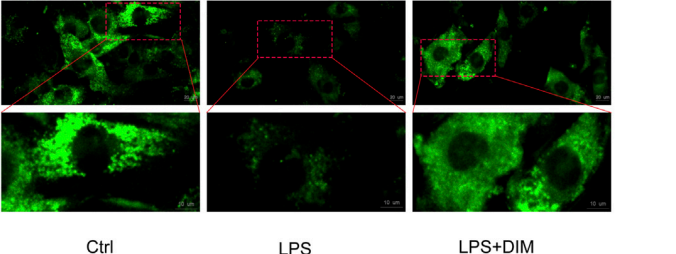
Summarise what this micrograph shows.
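In the left and right columns the cells are large and spread, and the green dots are dense around the nucleus. In the middle column the green dots are sparse and faint, and the cells are hard to outline.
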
